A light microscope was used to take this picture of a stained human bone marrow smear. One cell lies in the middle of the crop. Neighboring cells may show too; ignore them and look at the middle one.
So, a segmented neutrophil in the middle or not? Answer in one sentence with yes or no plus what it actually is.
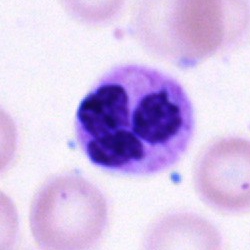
Yes, the identity of the central cell is that of a segmented neutrophil.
